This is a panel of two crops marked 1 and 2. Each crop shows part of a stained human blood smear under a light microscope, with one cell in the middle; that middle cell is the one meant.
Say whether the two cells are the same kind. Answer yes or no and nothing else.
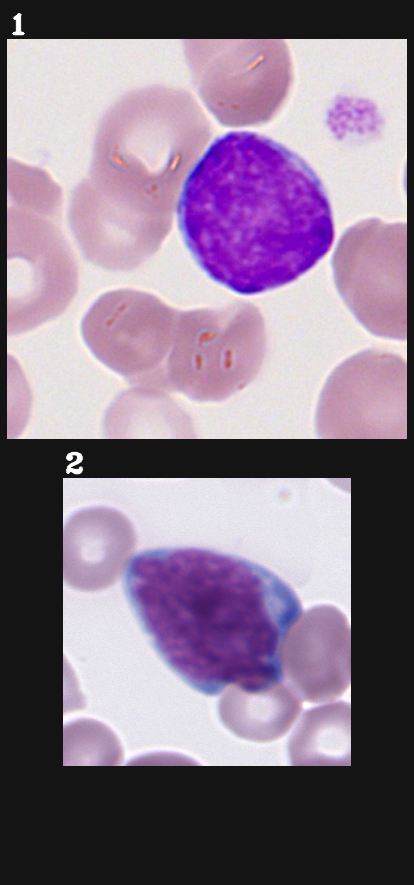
yes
